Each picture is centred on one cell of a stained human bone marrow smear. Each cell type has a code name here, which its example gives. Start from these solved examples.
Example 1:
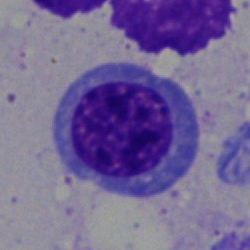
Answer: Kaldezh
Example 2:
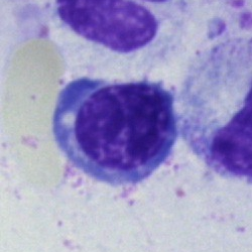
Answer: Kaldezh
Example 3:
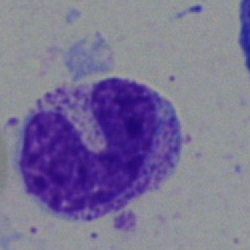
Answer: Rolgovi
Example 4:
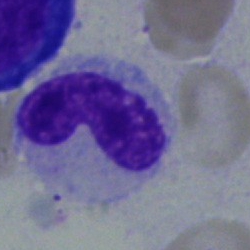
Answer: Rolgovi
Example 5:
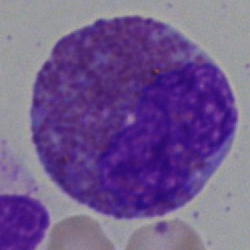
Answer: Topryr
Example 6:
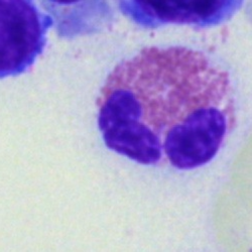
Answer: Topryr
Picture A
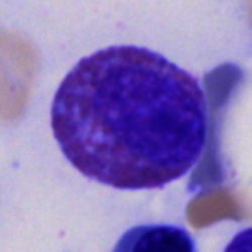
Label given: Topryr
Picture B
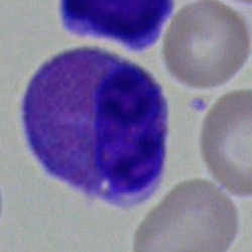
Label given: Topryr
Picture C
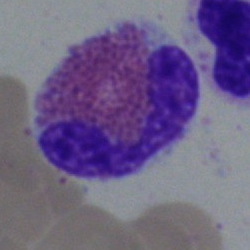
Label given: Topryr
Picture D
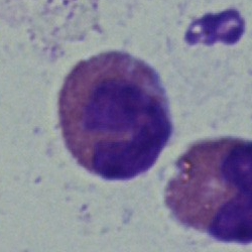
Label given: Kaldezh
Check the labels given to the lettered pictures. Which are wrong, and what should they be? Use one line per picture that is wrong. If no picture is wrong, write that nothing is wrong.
D: change Kaldezh to Topryr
